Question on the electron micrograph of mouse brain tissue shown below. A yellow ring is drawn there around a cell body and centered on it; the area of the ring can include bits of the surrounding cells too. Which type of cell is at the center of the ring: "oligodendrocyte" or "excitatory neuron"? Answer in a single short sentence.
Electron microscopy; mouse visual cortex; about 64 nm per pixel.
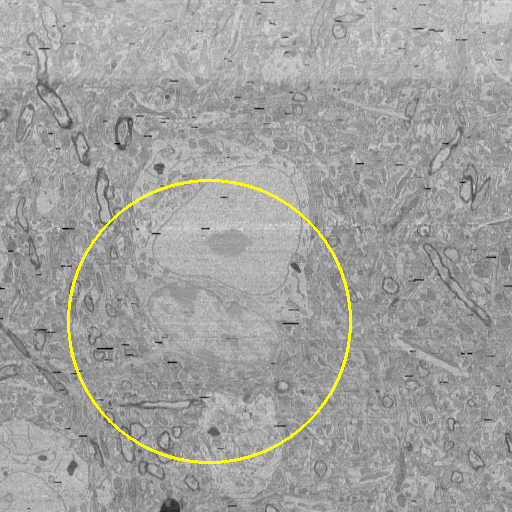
The ring is centered on an oligodendrocyte.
